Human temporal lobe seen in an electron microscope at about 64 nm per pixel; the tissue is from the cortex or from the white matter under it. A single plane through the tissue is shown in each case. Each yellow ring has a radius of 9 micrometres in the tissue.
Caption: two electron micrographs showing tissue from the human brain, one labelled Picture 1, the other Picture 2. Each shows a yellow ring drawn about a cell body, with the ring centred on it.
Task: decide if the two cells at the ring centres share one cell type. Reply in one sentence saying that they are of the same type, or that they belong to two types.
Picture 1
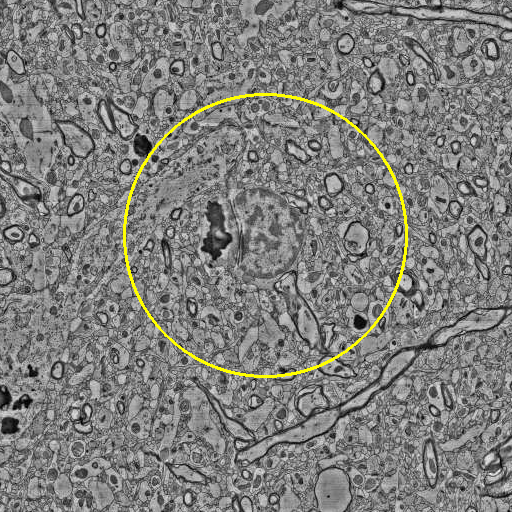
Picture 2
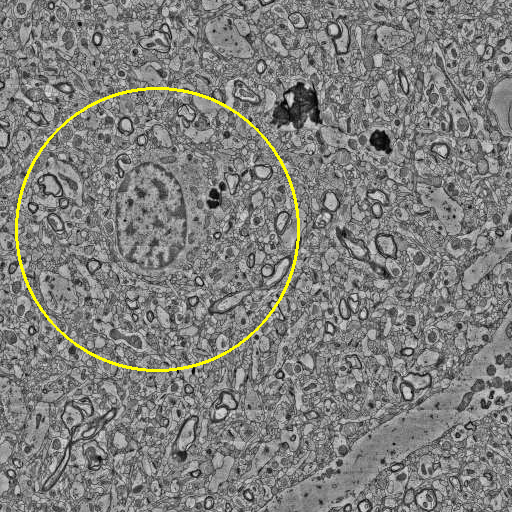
The cells at the ring centres in Picture 1 and Picture 2 are of the same type.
